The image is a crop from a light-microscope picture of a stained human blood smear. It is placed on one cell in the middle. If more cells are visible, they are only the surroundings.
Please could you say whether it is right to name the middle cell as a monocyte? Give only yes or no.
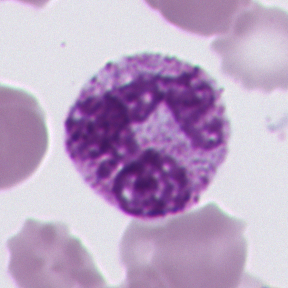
no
